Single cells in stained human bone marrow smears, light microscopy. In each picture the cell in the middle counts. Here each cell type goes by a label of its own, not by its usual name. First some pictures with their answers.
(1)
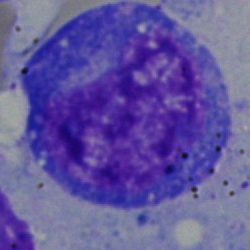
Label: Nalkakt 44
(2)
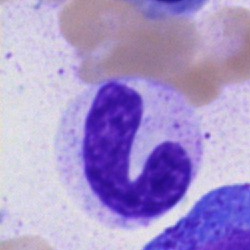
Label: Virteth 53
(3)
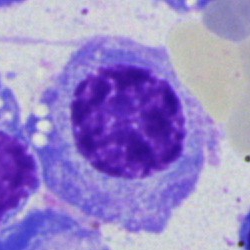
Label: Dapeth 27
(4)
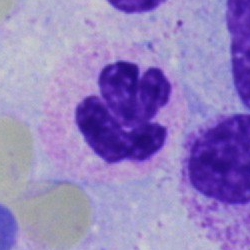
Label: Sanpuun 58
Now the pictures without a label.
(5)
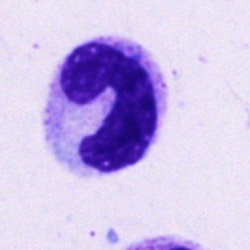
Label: Virteth 53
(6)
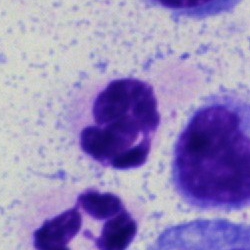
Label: Sanpuun 58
